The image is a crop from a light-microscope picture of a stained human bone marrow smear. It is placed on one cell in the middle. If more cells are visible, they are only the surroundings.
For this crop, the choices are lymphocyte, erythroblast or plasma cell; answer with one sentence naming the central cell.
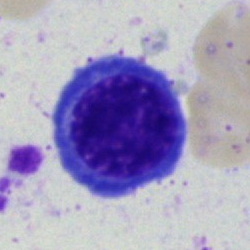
By classification, the middle cell of this crop is an erythroblast.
